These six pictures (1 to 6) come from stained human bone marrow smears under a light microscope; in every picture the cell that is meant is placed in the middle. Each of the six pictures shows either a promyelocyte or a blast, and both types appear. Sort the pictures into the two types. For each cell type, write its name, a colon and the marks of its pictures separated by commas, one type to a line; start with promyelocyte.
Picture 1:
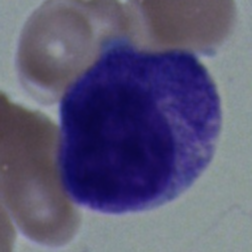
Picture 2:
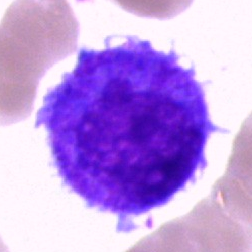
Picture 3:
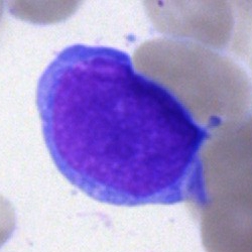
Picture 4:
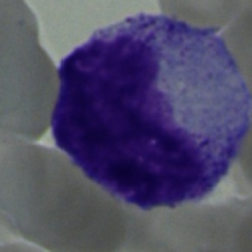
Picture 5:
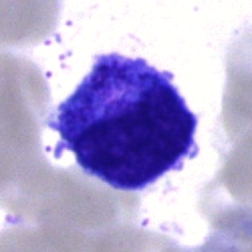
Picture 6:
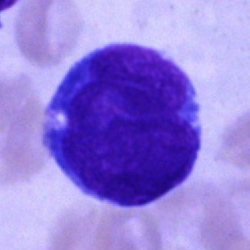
promyelocyte: 1, 2, 4, 5
blast: 3, 6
